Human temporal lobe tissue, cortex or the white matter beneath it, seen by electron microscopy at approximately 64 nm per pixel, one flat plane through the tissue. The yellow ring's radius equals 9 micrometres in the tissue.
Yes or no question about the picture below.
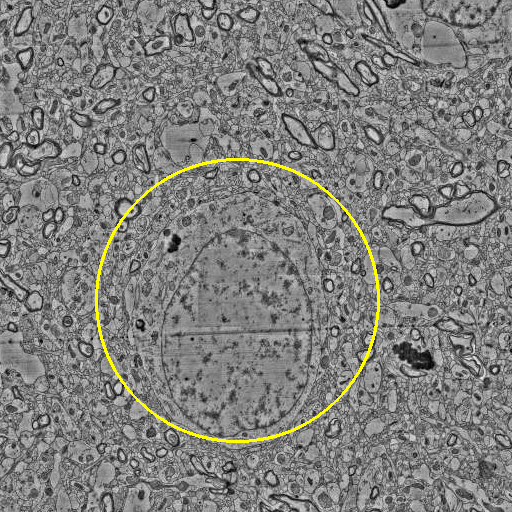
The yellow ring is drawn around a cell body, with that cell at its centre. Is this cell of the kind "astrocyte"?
no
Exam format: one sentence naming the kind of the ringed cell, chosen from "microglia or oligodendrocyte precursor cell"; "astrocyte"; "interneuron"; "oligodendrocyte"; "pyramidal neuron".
The cell in question here is a pyramidal neuron.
